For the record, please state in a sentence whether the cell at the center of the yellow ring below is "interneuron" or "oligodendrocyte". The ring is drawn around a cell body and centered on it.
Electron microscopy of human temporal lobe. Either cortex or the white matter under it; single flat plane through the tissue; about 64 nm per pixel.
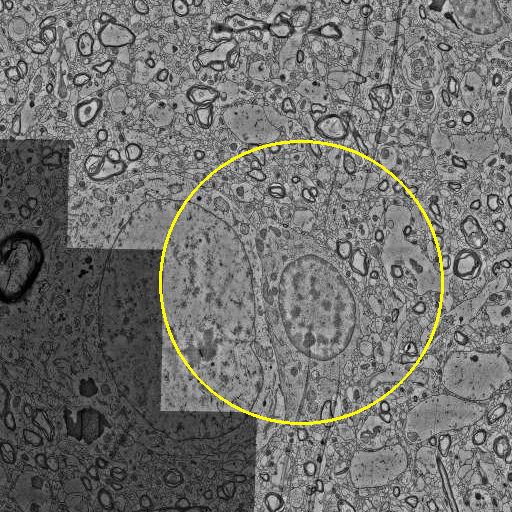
The cell at the ring's center is an oligodendrocyte.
